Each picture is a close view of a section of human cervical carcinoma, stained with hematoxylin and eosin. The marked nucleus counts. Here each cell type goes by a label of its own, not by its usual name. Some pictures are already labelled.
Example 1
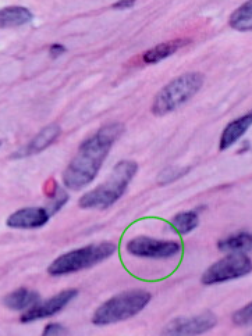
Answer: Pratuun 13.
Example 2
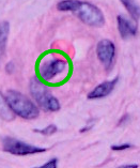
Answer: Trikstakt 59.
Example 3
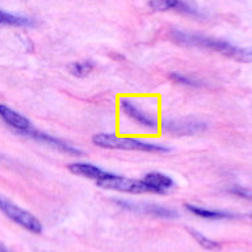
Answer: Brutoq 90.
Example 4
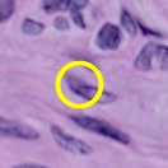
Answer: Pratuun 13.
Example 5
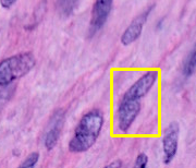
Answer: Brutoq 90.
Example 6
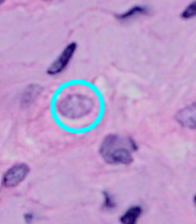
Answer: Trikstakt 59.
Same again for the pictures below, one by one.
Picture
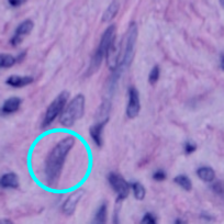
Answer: Brutoq 90.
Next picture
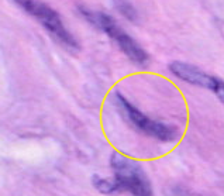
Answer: Pratuun 13.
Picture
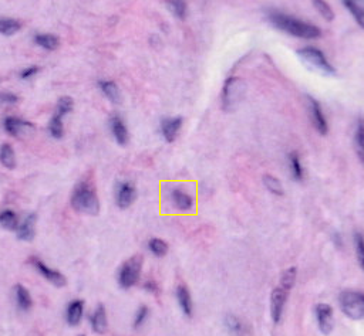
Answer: Brutoq 90.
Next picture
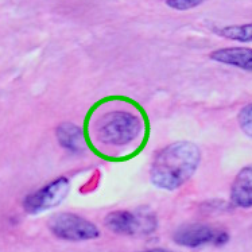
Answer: Trikstakt 59.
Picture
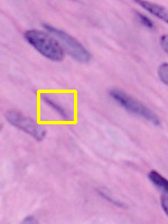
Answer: Pratuun 13.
